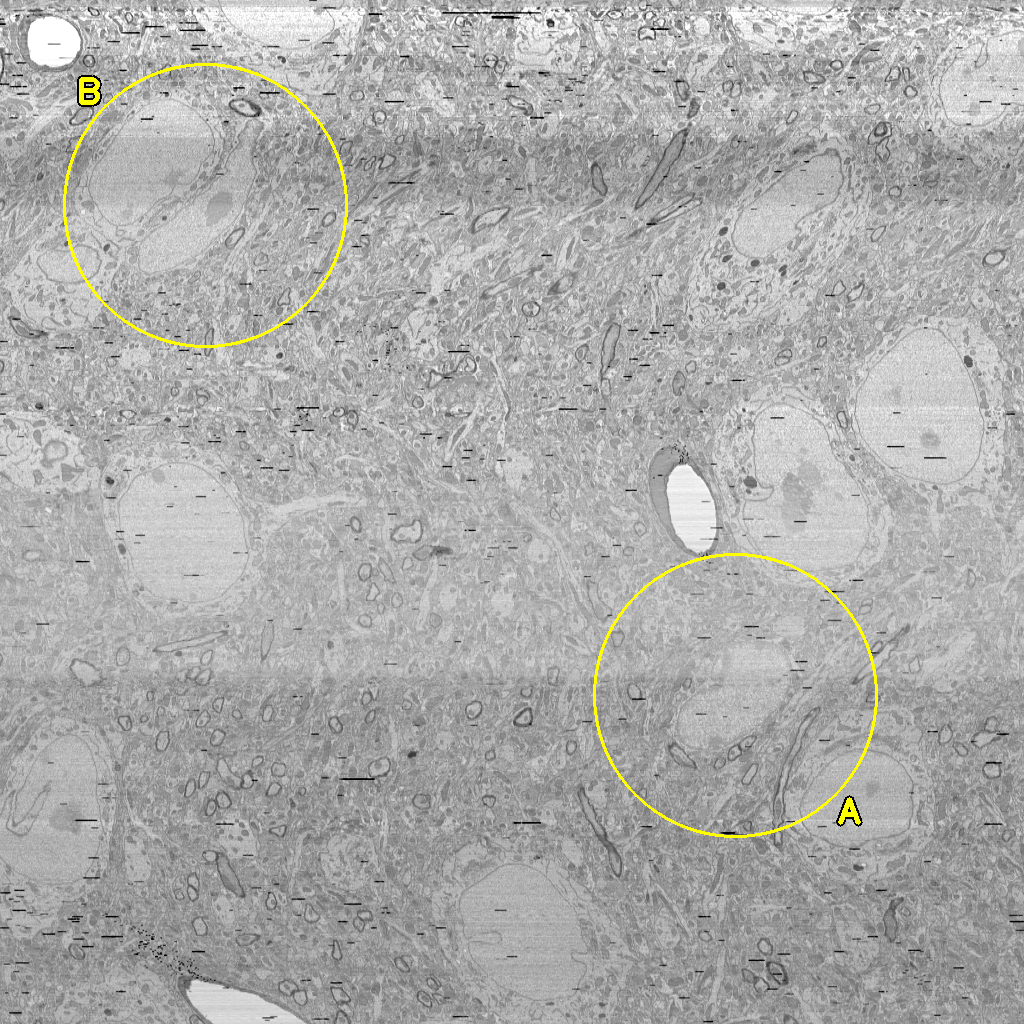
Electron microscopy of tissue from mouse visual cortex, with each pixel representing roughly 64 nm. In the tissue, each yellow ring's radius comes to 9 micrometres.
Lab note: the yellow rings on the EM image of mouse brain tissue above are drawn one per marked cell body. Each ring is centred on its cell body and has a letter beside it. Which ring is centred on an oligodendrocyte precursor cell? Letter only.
B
